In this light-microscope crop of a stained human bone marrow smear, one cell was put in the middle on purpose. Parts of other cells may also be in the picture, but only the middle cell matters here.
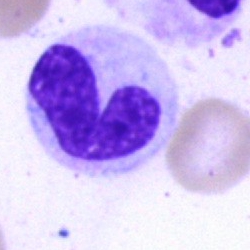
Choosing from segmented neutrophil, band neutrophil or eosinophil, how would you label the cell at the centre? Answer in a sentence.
To answer, the cell in the center of the crop is a band neutrophil.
